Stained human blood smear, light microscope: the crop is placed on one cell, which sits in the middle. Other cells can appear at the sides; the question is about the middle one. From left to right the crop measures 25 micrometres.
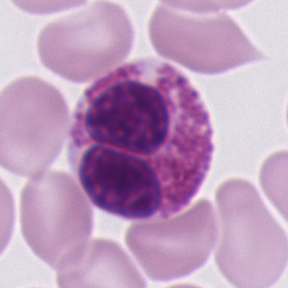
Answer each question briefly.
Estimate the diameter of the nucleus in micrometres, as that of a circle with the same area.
9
